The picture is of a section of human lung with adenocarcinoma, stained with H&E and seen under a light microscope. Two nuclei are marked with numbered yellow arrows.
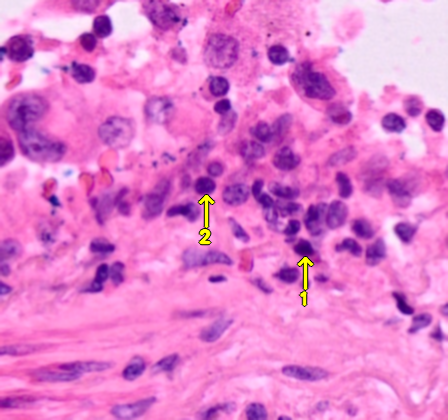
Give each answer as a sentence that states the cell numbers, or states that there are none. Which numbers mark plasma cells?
Only one choice fits: cell 1 is a plasma cell, and no other.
